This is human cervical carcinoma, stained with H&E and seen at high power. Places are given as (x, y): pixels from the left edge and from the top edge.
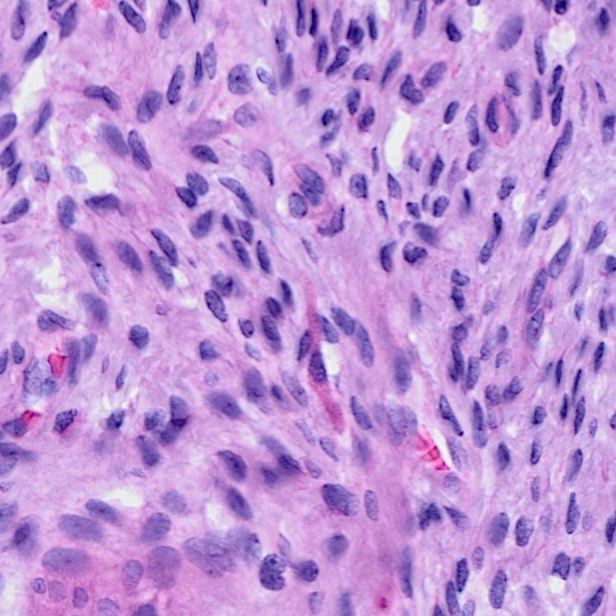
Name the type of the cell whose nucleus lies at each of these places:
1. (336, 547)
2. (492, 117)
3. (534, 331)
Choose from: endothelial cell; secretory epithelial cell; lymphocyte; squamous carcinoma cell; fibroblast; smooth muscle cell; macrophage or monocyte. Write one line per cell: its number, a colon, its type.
1: fibroblast
2: endothelial cell
3: endothelial cell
